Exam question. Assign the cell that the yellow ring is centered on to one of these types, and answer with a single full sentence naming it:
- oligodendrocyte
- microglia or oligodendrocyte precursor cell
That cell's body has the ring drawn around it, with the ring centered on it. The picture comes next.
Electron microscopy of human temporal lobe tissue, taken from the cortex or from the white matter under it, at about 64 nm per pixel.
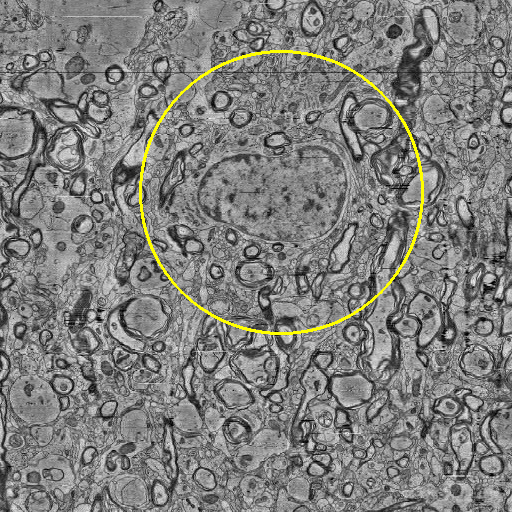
In the micrograph, the cell the yellow ring is centered on is a microglial cell or oligodendrocyte precursor cell.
